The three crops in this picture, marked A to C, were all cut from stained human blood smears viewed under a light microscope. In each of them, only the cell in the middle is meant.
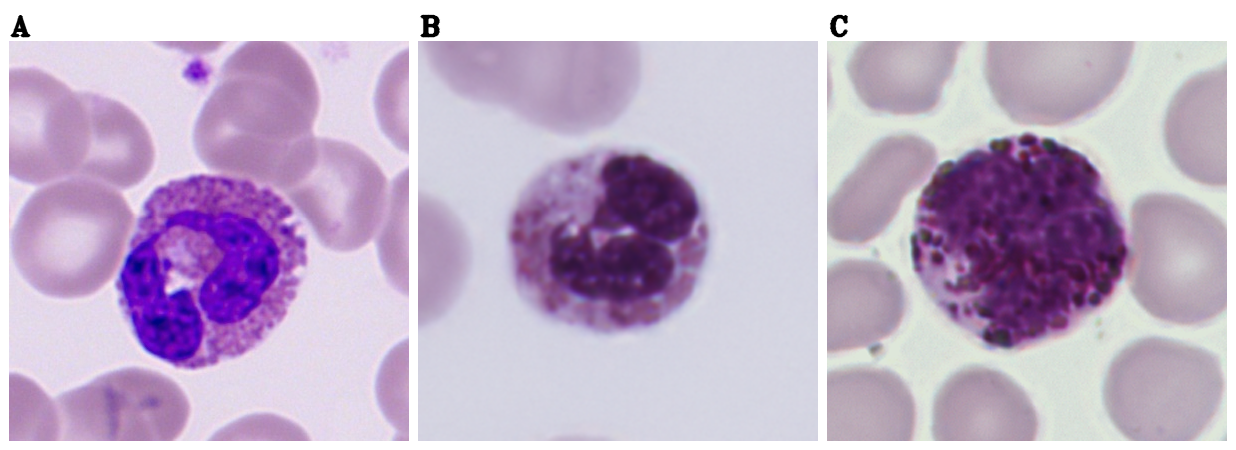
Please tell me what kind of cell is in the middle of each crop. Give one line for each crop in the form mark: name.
A: eosinophil
B: eosinophil
C: basophil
